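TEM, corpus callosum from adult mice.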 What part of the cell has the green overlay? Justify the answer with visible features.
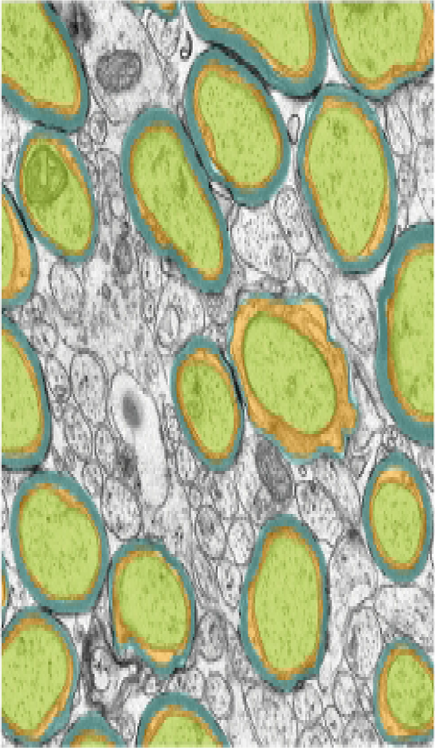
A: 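The green fills the pale central area enclosed by each dark ring. Each green region is round to oval and sits inside the ring. On this evidence: axon.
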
